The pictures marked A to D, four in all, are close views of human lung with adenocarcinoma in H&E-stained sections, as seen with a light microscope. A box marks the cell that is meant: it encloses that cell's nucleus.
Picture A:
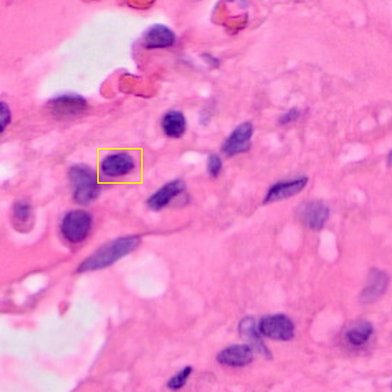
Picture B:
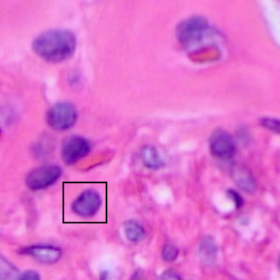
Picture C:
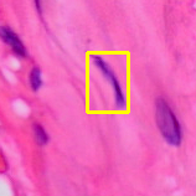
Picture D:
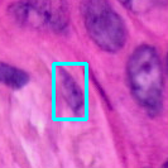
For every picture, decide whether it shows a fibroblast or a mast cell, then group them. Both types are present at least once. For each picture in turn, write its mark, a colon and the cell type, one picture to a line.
A: mast cell
B: mast cell
C: fibroblast
D: fibroblast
